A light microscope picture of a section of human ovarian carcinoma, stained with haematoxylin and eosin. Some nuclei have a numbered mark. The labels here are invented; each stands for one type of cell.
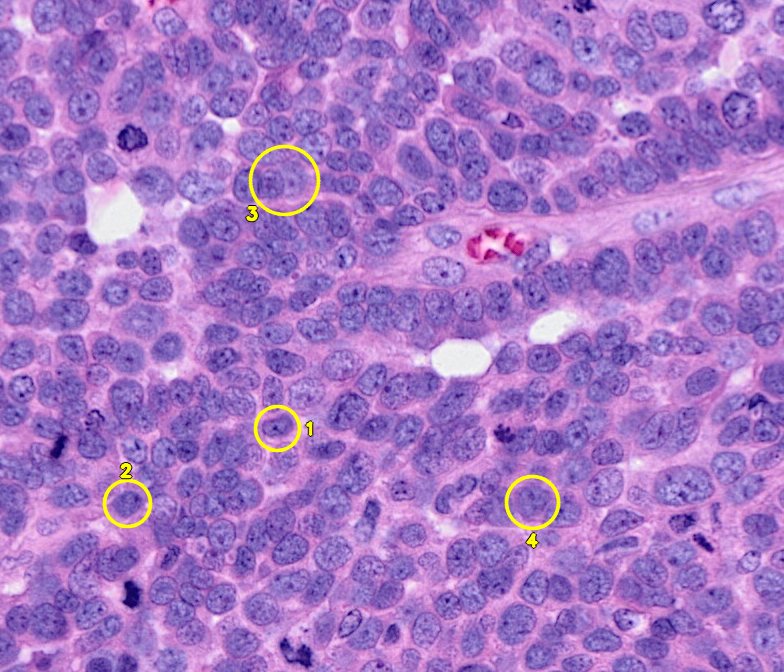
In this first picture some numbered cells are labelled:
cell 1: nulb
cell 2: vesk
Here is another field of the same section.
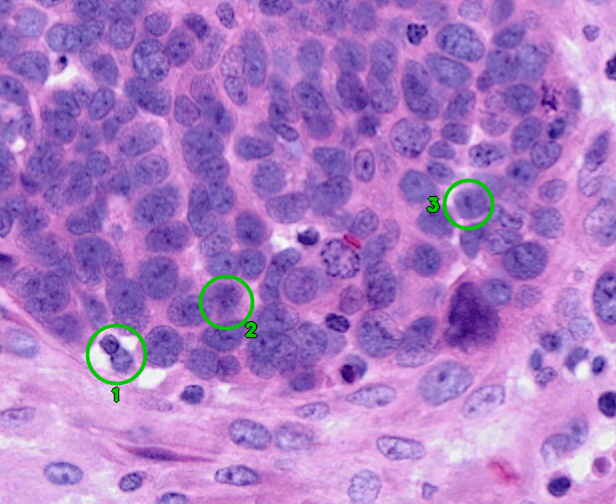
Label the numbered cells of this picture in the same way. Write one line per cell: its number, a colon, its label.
1: nulb
2: vesk
3: vesk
